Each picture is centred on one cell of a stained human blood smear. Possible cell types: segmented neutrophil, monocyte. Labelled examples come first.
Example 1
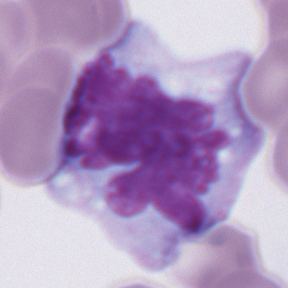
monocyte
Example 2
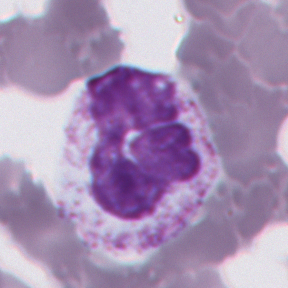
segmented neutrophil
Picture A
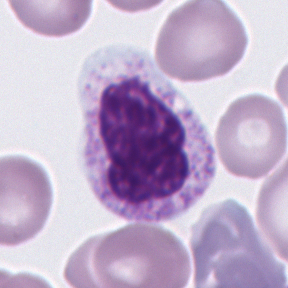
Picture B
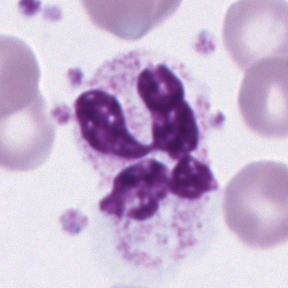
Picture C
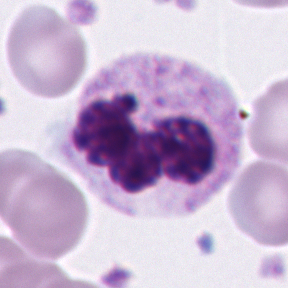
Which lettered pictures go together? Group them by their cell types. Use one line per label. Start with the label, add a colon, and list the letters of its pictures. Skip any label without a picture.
segmented neutrophil: A, B, C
